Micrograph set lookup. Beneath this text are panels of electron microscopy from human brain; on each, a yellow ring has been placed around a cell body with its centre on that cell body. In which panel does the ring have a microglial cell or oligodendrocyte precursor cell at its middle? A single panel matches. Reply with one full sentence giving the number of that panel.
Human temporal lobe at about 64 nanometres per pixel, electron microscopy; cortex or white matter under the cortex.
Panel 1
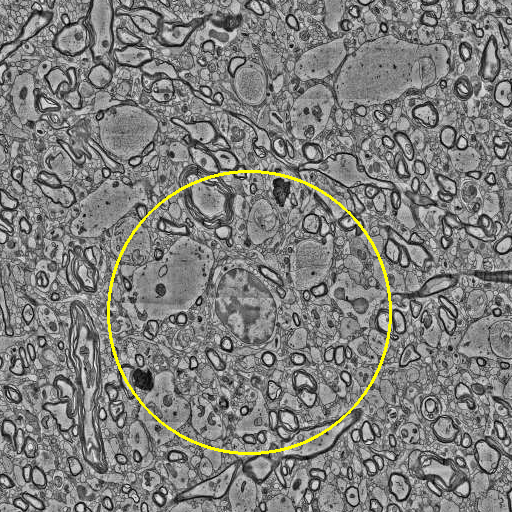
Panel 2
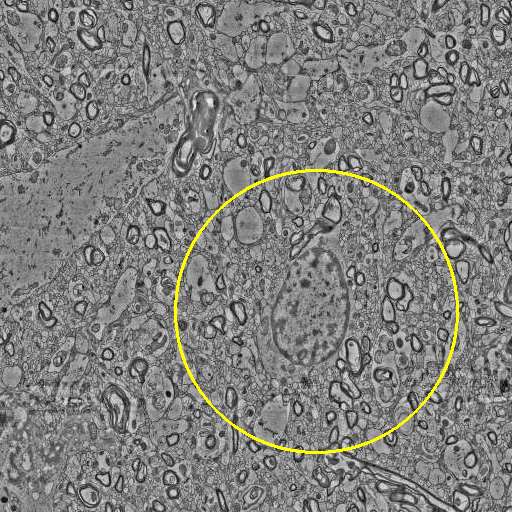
Panel 1 is the one whose ring has the sought cell at its centre.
